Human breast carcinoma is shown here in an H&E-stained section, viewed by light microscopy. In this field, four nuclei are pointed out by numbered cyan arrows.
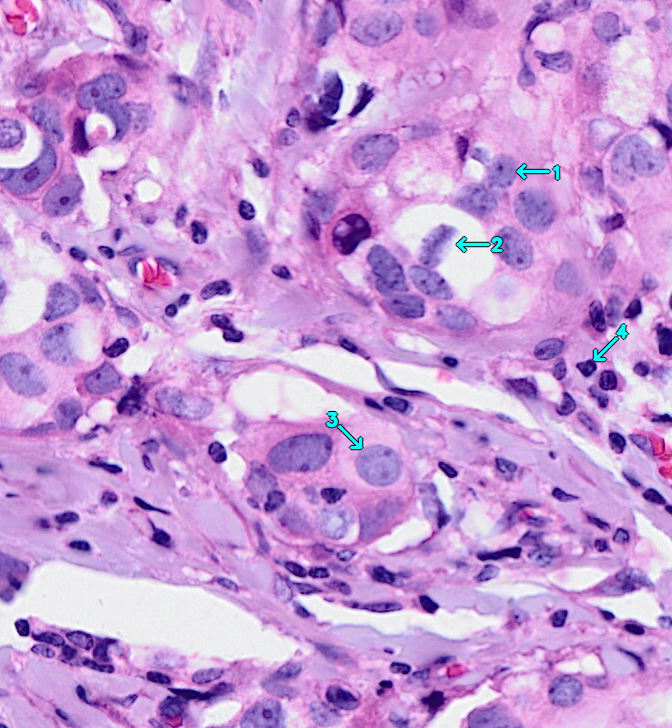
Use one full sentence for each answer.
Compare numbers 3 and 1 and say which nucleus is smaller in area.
Nucleus 1 covers less area, with nucleus 3 about 2 times as large.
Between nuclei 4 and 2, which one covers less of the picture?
The smaller nucleus is 4, and 2 covers roughly 3 times its area.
